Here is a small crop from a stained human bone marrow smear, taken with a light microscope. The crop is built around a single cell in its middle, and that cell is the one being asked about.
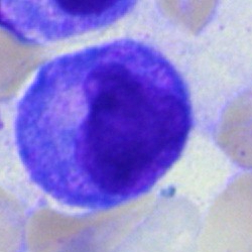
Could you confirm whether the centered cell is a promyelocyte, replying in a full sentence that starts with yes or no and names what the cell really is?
Yes, the central cell here is a promyelocyte.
